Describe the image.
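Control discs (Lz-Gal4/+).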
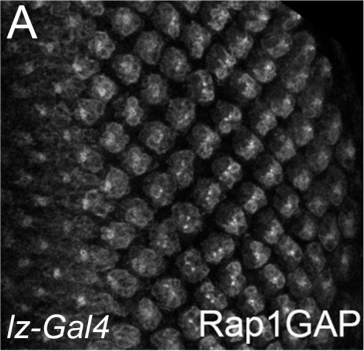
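The labelled cells are gathered into small compact clusters, each cluster representing a developing ommatidium, and the clusters repeat in a strikingly regular lattice of diagonal rows across the field. Within each cluster several closely apposed cells can be made out, with brighter puncta at their centres.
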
